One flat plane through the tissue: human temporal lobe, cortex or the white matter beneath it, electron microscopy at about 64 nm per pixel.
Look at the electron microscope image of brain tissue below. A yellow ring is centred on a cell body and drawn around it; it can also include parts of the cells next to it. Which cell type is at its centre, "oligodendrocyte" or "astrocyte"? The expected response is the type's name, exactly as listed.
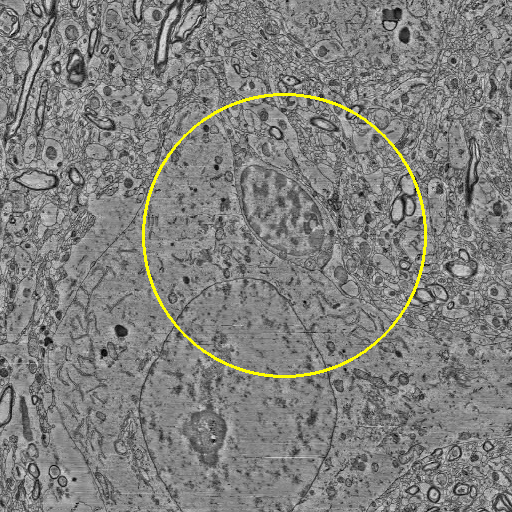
oligodendrocyte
